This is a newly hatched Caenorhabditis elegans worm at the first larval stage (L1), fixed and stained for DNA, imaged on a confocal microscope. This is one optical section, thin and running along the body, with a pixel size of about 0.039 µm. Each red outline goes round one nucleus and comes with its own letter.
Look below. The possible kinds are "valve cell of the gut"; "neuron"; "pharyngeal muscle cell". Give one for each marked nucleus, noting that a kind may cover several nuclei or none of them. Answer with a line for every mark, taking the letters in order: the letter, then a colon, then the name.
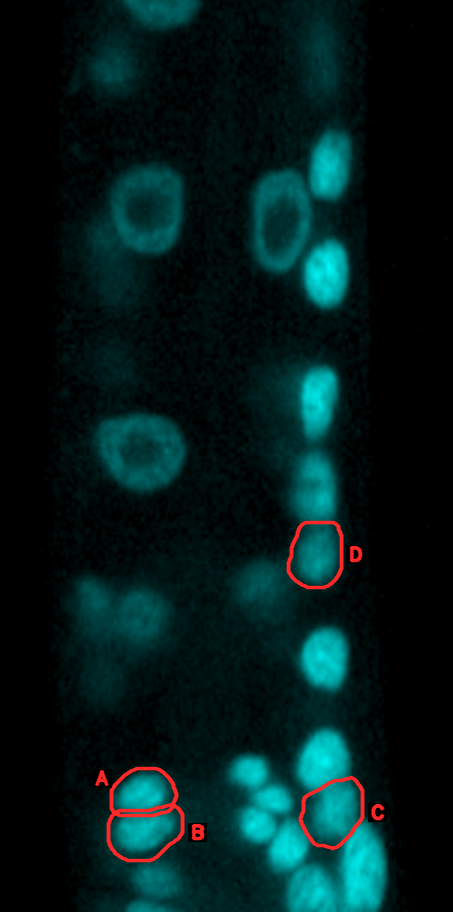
A: valve cell of the gut
B: valve cell of the gut
C: neuron
D: neuron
